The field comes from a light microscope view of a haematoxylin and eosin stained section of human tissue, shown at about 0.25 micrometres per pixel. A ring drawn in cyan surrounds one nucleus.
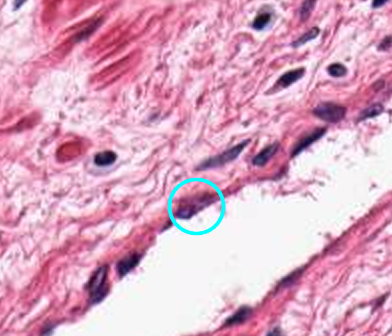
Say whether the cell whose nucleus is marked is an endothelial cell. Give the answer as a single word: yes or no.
yes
